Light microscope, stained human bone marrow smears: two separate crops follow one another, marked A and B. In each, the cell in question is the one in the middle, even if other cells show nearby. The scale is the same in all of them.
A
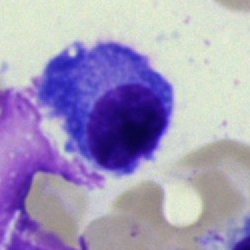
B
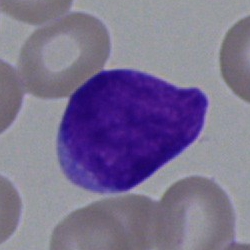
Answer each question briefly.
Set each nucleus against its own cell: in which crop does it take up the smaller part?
A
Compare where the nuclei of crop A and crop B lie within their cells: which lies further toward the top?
B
